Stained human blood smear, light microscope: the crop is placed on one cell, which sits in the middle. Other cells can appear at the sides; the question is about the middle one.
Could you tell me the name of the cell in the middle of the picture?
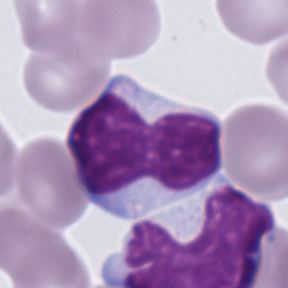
large granular lymphocyte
